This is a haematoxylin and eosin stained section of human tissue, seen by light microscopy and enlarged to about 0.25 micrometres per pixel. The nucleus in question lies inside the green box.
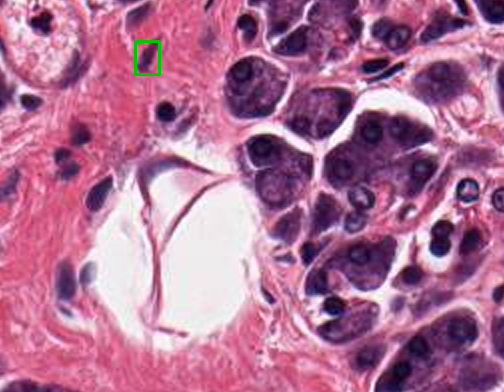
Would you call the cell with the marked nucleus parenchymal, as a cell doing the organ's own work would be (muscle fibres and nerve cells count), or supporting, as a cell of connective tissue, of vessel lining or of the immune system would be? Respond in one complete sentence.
Forming part of a supporting cell is the marked nucleus.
